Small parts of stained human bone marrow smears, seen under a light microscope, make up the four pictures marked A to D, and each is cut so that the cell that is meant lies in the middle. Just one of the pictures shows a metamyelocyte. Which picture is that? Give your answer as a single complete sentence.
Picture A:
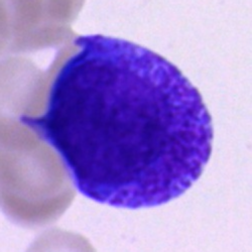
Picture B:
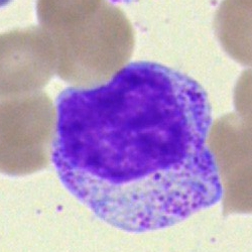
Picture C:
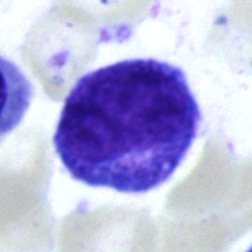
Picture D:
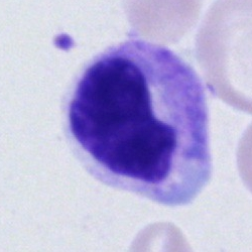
The metamyelocyte is the one in picture D.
